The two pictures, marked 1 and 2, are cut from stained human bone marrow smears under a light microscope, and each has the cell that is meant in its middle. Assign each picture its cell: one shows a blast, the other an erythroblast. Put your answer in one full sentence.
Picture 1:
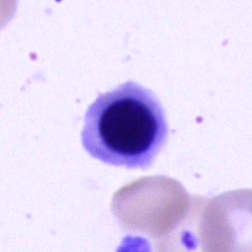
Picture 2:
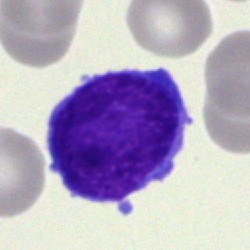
It is picture 1 that shows an erythroblast, and picture 2 that shows a blast.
